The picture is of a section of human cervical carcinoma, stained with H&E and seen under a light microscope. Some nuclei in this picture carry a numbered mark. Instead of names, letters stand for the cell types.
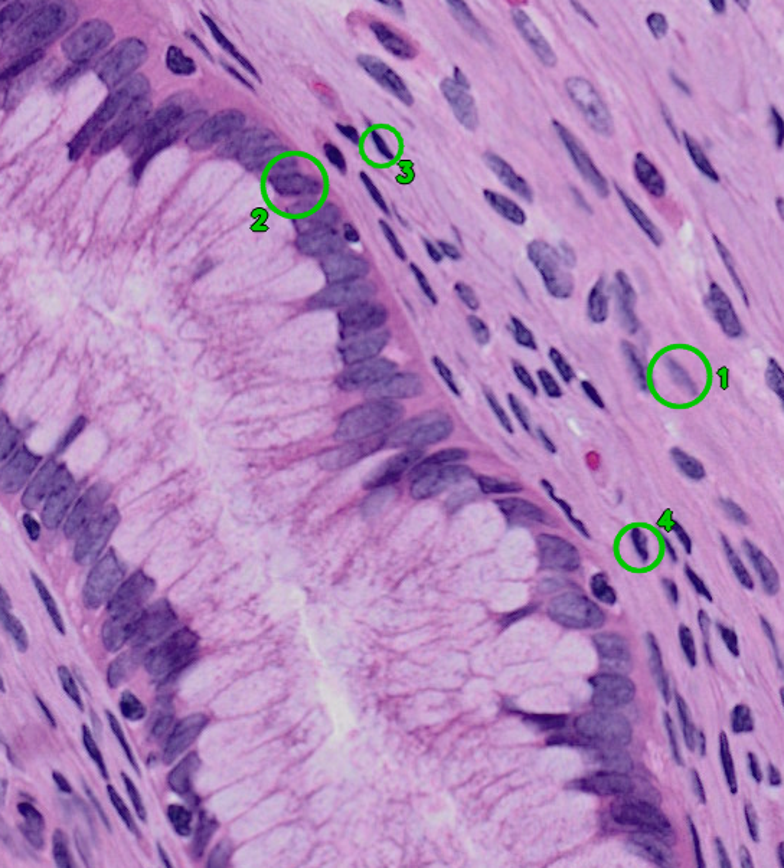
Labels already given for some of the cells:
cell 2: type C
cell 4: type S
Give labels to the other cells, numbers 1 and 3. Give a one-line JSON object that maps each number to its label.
{"1": "type S", "3": "type S"}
